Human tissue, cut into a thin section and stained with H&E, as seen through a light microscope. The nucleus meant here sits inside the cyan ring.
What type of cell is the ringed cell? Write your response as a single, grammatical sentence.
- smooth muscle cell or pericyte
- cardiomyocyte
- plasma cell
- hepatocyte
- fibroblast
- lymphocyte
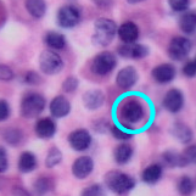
In terms of identity, the ringed cell is a plasma cell.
